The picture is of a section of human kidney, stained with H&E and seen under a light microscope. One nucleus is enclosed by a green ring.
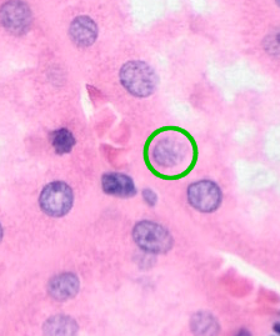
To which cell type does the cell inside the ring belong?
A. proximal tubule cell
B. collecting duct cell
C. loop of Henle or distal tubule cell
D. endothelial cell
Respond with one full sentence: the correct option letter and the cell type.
Of all the options, A is right, since the cell inside the ring is a proximal tubule cell.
